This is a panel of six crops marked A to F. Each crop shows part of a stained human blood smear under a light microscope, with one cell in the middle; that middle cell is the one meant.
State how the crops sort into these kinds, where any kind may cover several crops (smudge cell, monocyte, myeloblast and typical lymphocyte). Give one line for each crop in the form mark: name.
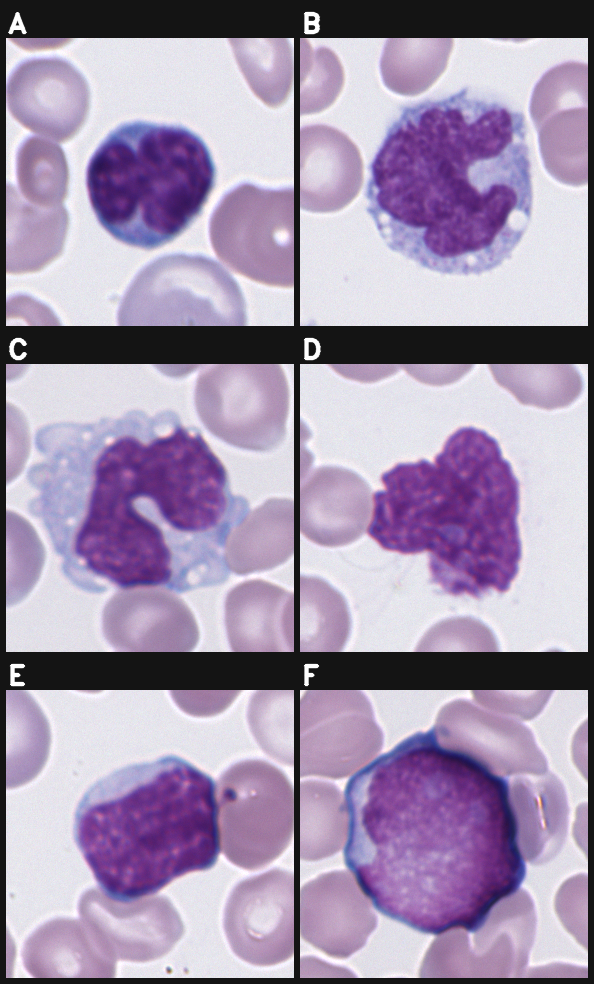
A: typical lymphocyte
B: monocyte
C: monocyte
D: smudge cell
E: myeloblast
F: myeloblast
